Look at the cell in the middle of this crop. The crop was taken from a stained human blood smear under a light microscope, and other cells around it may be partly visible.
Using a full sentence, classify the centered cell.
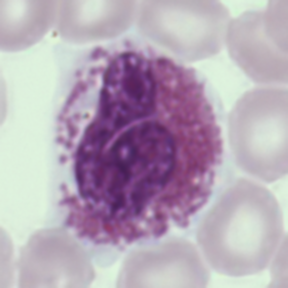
The cell marked by its central position in the crop is an eosinophil.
